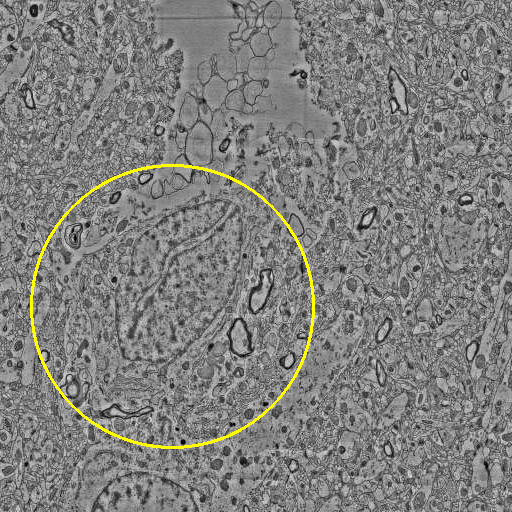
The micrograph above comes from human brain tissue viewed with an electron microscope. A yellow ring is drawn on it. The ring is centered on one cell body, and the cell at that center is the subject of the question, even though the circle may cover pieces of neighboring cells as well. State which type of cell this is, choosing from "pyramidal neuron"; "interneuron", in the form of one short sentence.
The cell the ring is centered on is an interneuron.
